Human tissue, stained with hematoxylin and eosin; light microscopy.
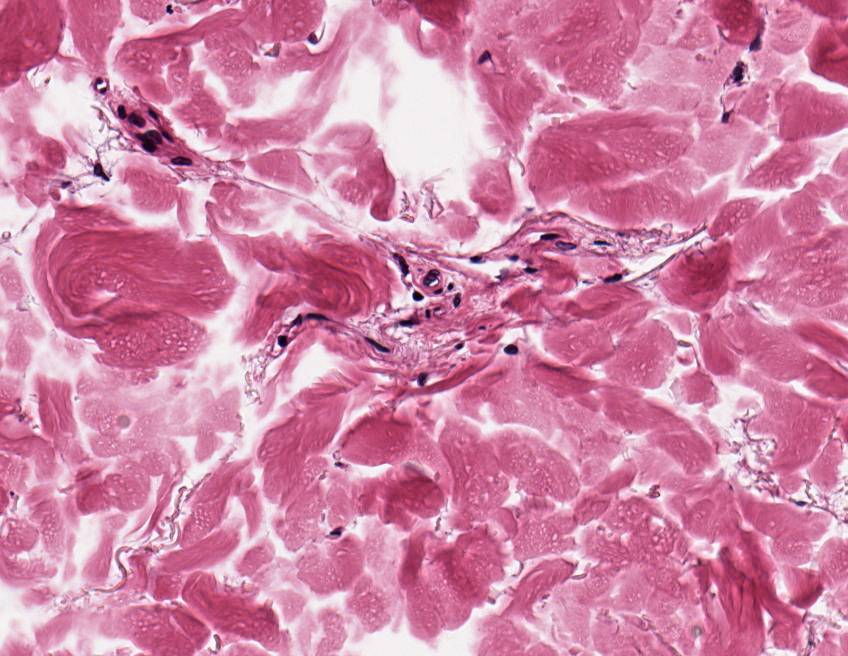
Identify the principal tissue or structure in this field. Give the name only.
dermis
